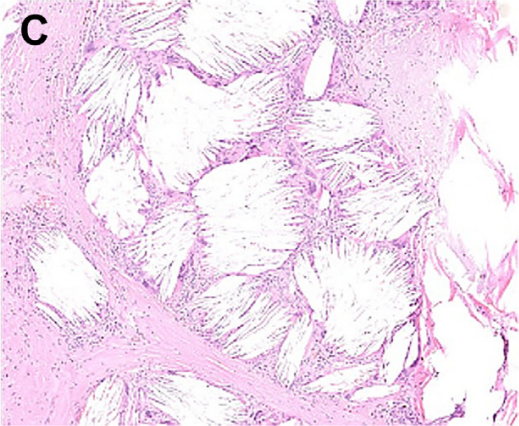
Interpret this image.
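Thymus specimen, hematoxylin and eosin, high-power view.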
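This is a cholesterol granuloma, packed with clusters of empty cholesterol clefts that show up as clear spaces with fine, feathery, needle-like streaks. Pink cells, including foreign body giant cells, rim the clefts, and bands of pink fibrous tissue run between the clusters.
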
